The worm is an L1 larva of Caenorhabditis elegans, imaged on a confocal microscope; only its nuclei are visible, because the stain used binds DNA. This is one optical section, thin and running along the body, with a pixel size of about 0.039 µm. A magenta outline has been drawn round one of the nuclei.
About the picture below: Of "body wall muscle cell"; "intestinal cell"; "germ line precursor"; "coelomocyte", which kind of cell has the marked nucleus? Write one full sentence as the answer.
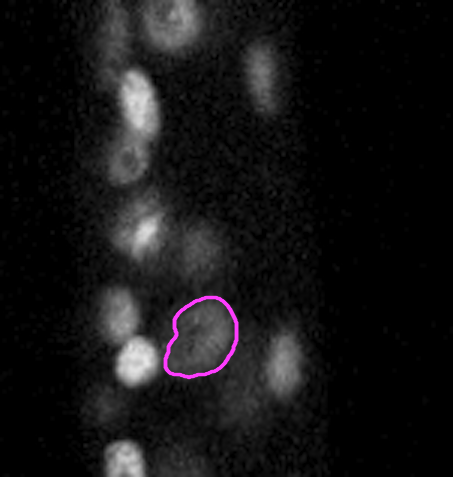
The nucleus comes from an intestinal cell.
